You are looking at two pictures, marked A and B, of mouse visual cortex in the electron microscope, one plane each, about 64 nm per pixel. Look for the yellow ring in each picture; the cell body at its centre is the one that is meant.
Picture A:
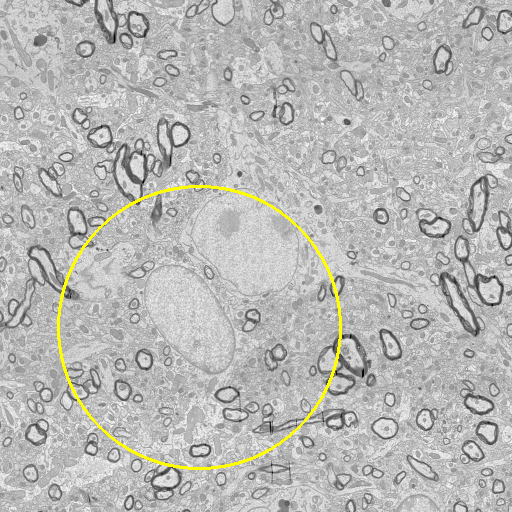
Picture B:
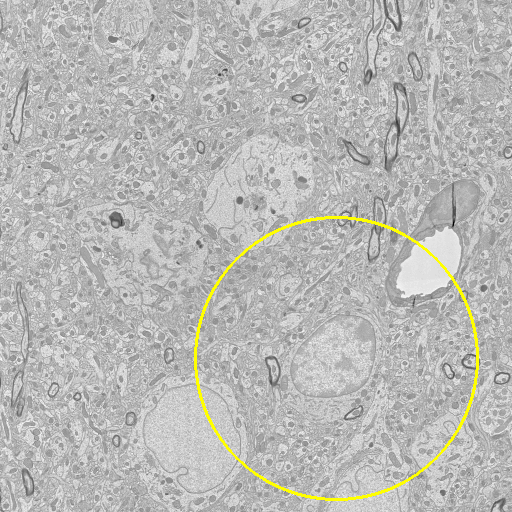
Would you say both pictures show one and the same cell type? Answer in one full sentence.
No, the types are not the same, since picture A shows an astrocyte and picture B an oligodendrocyte.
